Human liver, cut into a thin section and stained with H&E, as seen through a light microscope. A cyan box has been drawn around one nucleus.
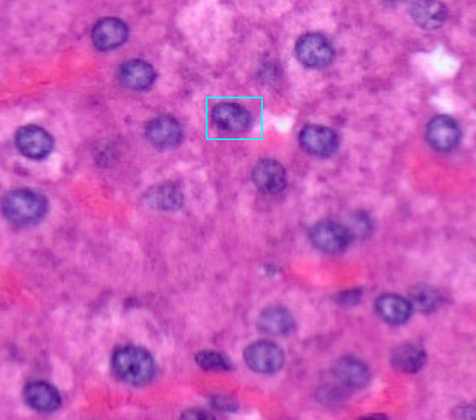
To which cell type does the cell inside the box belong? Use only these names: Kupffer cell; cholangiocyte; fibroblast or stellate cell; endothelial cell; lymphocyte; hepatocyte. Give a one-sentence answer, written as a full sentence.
So far as cell type goes, the cell inside the box is a hepatocyte.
